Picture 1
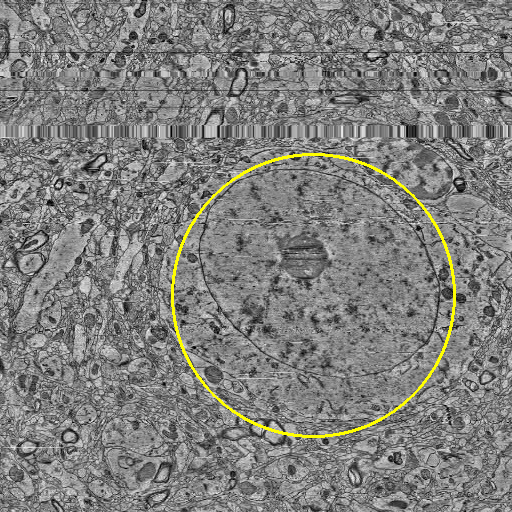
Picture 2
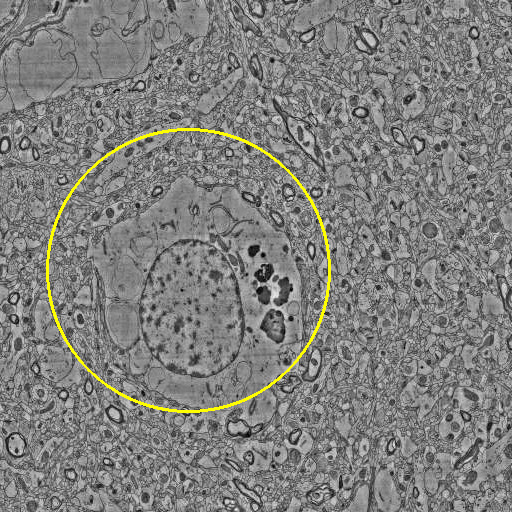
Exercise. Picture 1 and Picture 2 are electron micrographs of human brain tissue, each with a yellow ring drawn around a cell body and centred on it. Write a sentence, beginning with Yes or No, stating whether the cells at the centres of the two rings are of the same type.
No, the cells at the centres of the rings are of two types.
